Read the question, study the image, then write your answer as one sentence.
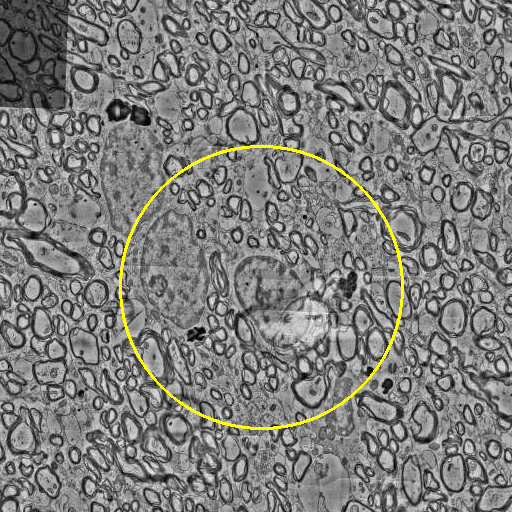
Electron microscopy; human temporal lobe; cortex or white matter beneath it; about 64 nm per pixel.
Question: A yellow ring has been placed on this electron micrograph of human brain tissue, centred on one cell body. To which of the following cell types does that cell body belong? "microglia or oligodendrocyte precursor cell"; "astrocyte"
That cell body belongs to a microglial cell or oligodendrocyte precursor cell.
